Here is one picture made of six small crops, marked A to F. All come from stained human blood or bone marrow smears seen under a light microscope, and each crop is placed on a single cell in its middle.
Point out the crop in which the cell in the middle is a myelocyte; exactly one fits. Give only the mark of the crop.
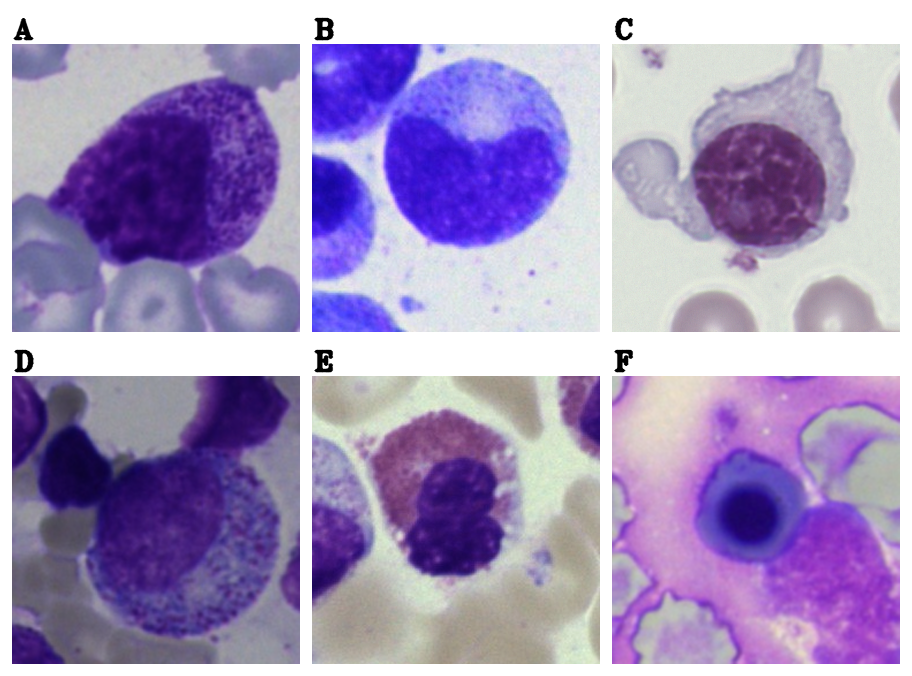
A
